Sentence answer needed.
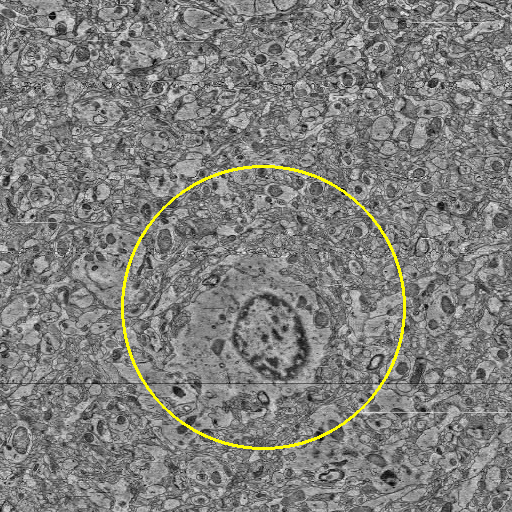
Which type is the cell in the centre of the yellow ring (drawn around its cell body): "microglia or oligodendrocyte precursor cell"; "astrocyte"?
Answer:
In the centre of the yellow ring is an astrocyte.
